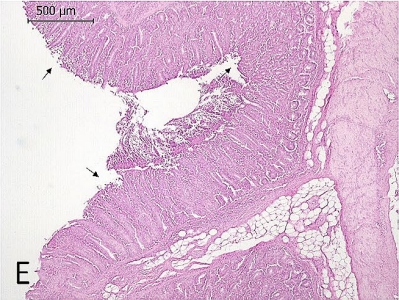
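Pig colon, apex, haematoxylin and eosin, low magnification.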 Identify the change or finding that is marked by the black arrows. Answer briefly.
Mild necrosis of the epithelium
